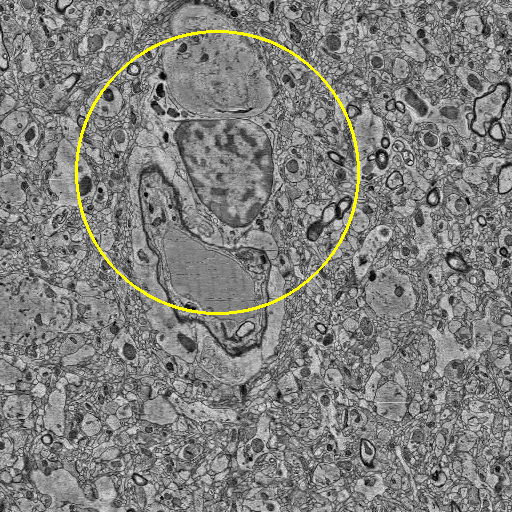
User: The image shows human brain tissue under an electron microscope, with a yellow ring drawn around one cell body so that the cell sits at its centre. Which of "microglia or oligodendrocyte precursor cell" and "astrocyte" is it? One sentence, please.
At the centre of the ring sits a microglial cell or oligodendrocyte precursor cell.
